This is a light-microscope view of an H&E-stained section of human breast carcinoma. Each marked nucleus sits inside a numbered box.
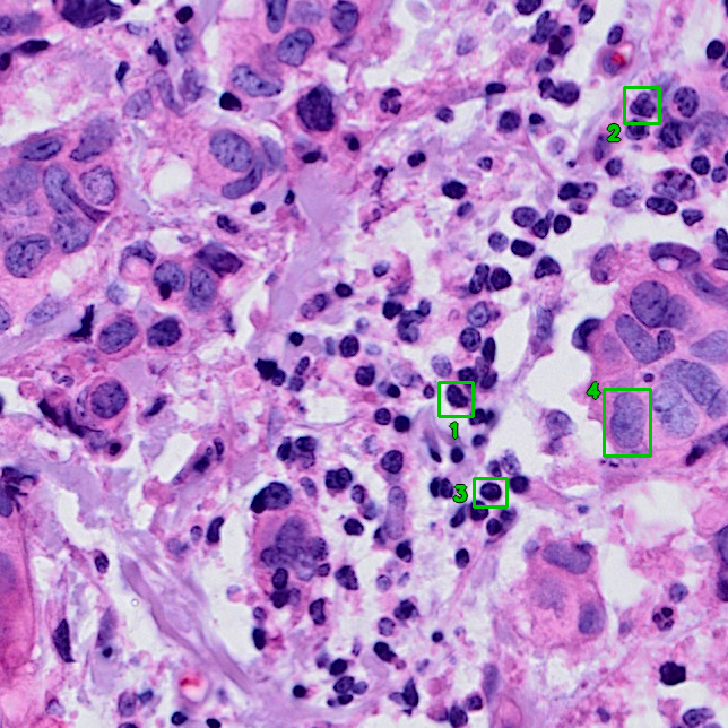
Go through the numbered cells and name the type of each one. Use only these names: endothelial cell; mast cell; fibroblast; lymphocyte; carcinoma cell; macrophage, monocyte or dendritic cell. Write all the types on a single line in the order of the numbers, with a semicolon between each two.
lymphocyte; lymphocyte; lymphocyte; carcinoma cell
